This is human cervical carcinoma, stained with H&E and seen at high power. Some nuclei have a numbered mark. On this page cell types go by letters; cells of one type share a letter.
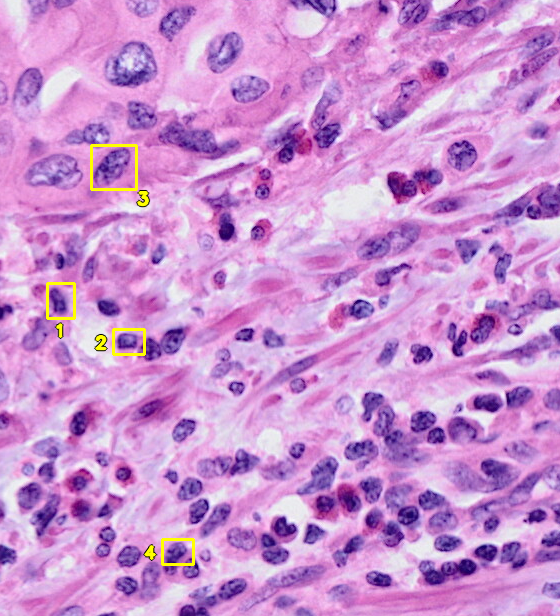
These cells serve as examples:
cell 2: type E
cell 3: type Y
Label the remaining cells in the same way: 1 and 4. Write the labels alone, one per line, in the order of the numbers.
type E
type E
